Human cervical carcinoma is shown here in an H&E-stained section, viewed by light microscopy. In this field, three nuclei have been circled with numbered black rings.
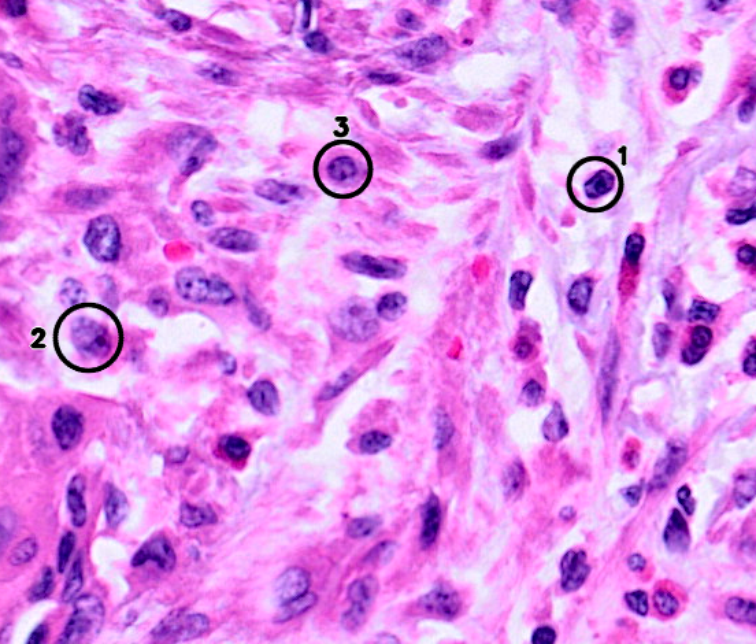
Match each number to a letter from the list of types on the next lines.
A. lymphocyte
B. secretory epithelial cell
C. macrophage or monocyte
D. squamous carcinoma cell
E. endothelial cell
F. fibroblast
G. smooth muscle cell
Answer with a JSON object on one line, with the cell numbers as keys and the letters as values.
{"1": "A", "2": "C", "3": "C"}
